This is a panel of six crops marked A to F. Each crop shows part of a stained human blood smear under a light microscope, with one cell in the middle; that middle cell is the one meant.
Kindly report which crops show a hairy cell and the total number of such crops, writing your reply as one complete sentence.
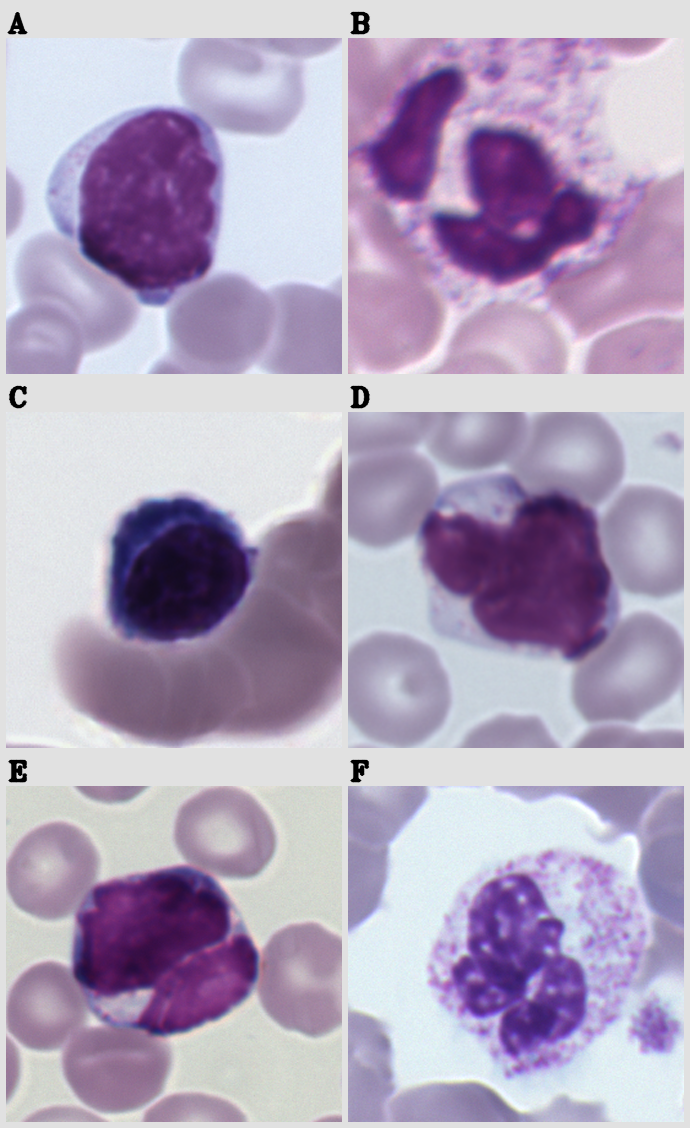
In no crop are hairy cells seen, and so their count is zero.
